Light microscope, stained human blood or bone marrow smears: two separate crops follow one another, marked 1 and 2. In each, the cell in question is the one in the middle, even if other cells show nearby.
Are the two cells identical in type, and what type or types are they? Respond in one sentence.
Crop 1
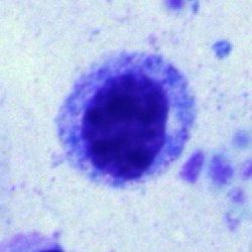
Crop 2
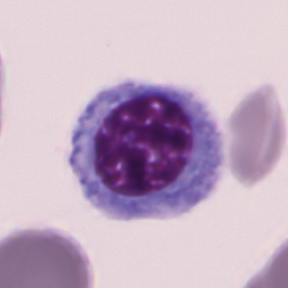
No, crop 1 shows a myelocyte, whereas in crop 2 the cell is a plasma cell.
